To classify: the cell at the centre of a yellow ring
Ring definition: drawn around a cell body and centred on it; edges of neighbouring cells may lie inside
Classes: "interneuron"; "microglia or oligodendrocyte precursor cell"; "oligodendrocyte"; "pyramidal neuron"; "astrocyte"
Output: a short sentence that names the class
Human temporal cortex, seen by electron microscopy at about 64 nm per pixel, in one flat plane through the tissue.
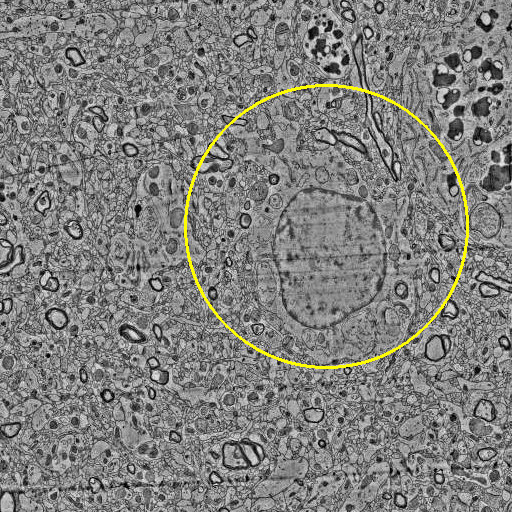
The ringed cell is an astrocyte.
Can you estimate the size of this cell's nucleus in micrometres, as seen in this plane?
In this plane, roughly 9 by 7 micrometres.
